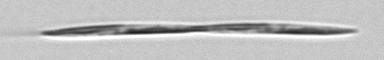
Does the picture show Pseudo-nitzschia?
Yes.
